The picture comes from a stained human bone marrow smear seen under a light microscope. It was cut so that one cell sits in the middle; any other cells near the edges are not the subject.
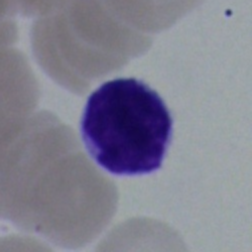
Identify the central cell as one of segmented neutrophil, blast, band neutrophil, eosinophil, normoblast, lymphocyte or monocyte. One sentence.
The cell at the middle of the crop is recognized as a lymphocyte.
